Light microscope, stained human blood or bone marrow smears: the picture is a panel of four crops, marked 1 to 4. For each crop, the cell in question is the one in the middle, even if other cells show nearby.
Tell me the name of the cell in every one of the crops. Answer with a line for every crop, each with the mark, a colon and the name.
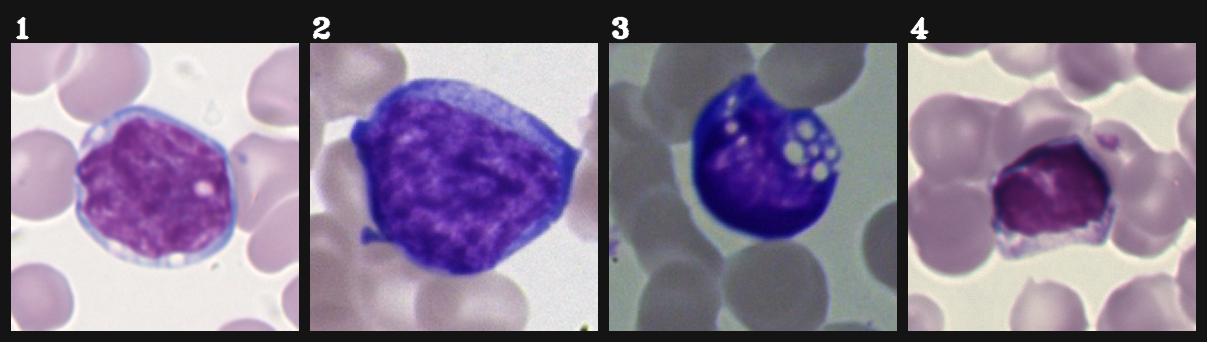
1: blast
2: blast
3: blast
4: lymphocyte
